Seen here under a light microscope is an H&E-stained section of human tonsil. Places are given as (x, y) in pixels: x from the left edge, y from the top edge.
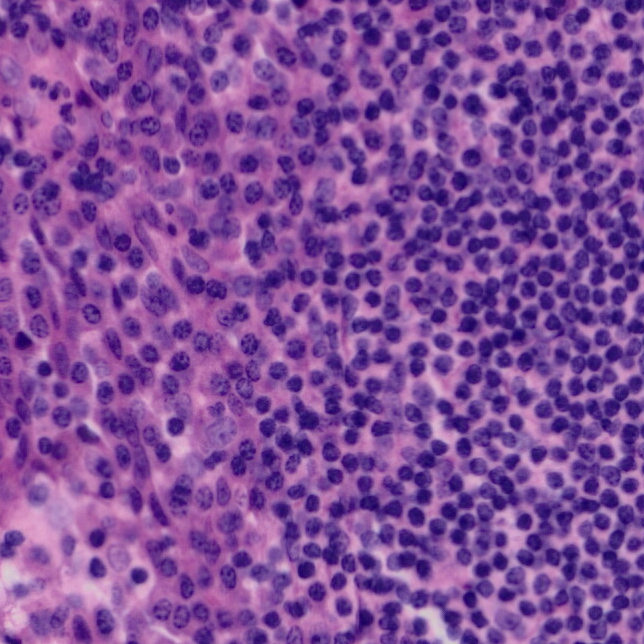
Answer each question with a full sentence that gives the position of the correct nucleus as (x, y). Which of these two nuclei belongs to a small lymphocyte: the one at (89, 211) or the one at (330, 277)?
Between the two nuclei, the one sitting at (330, 277) belongs to a small lymphocyte.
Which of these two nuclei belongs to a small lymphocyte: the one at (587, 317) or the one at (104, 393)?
Only the nucleus at (587, 317), of the two, belongs to a small lymphocyte.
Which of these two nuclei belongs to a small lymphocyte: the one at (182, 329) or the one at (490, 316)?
The nucleus that belongs to a small lymphocyte sits at (490, 316).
